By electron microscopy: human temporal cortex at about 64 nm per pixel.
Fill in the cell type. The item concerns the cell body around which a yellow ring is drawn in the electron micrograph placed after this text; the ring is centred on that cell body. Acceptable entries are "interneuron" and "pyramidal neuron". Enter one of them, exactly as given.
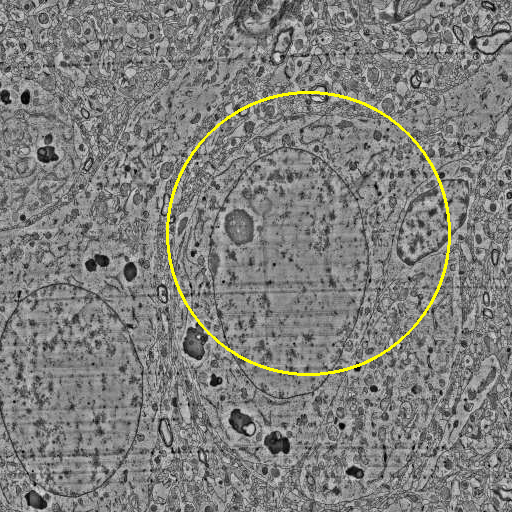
pyramidal neuron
